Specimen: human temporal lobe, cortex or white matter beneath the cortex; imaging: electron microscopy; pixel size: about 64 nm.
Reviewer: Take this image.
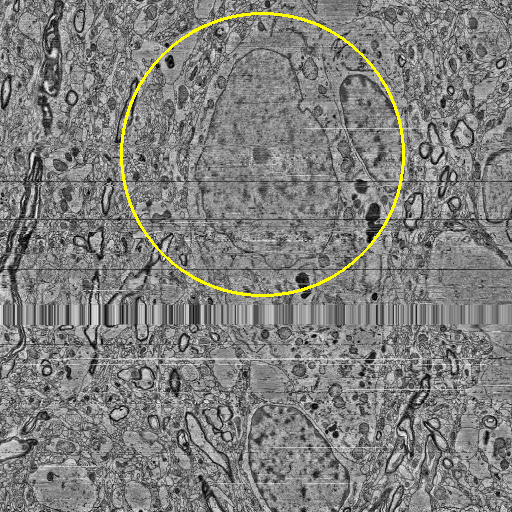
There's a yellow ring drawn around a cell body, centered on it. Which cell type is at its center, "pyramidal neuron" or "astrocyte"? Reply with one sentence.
At the center of the yellow ring is a pyramidal neuron.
